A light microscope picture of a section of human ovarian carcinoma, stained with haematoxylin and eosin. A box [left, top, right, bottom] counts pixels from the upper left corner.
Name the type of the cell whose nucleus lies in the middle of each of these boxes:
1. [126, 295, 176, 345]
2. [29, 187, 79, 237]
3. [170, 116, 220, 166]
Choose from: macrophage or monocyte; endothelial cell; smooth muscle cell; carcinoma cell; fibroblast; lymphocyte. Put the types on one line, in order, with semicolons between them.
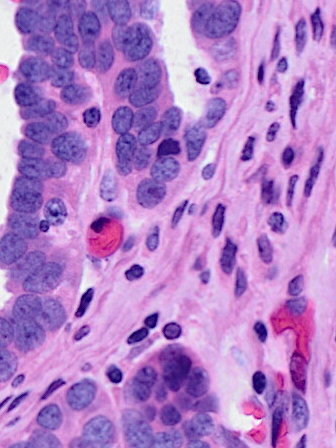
lymphocyte; macrophage or monocyte; carcinoma cell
